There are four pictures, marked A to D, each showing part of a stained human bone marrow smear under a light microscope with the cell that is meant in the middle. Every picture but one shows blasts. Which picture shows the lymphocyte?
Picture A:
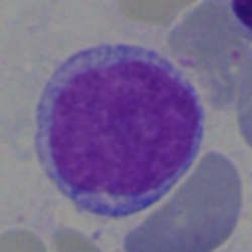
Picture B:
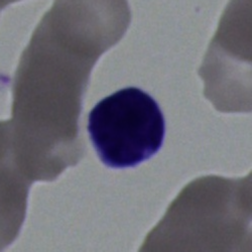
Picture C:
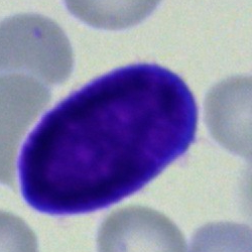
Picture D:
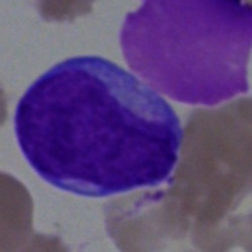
B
